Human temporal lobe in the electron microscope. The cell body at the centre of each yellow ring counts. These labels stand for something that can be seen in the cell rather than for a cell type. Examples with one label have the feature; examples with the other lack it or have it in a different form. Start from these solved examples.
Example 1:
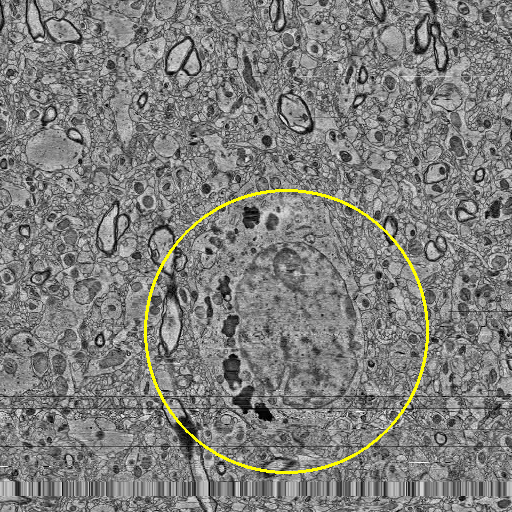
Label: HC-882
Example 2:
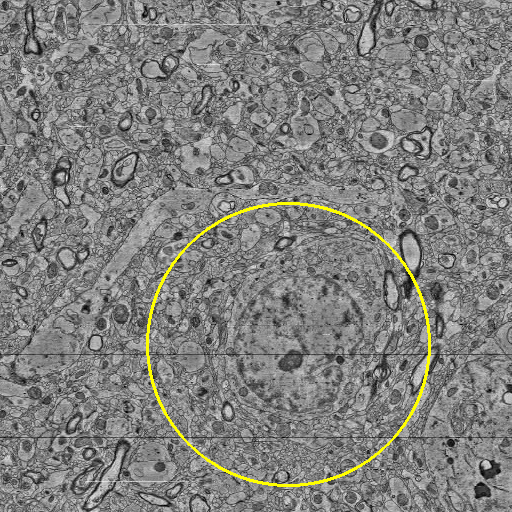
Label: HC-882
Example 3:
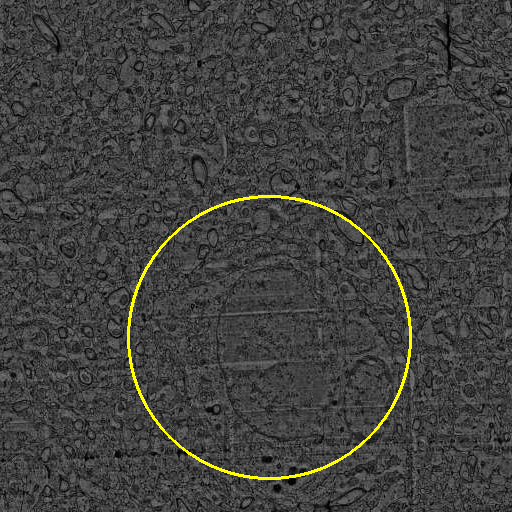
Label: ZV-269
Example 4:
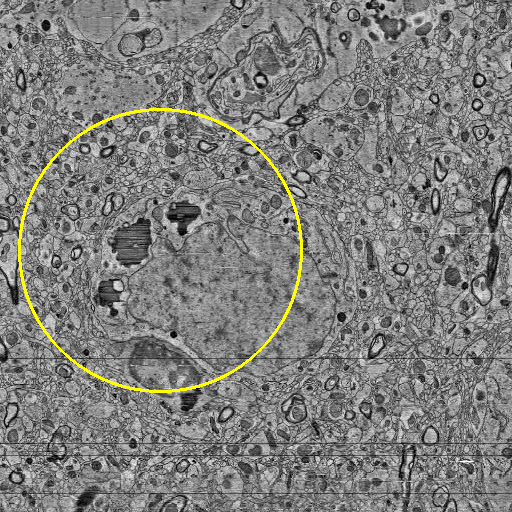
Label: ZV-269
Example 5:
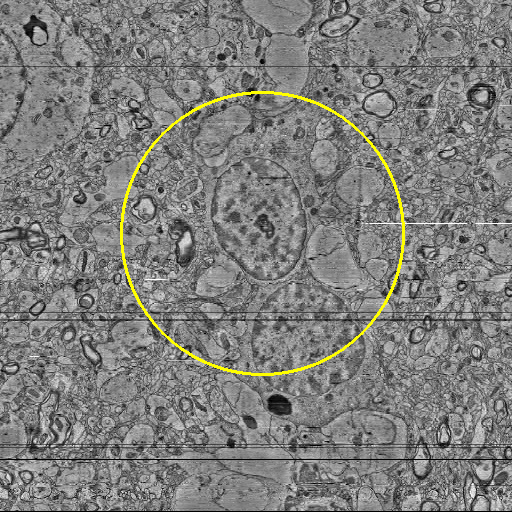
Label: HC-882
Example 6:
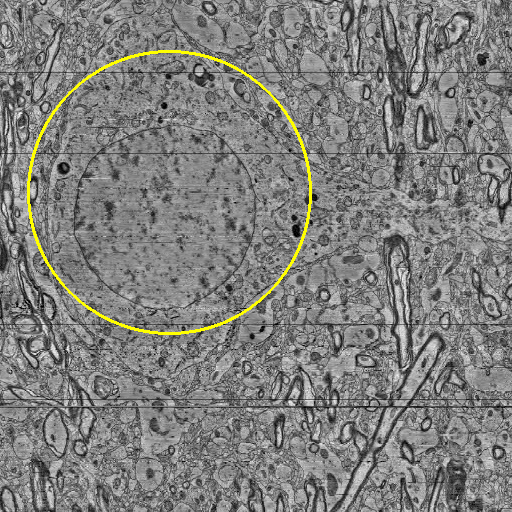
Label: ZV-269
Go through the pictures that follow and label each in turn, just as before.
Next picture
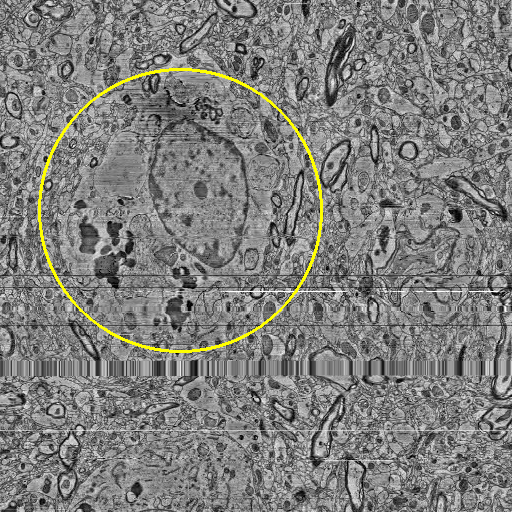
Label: HC-882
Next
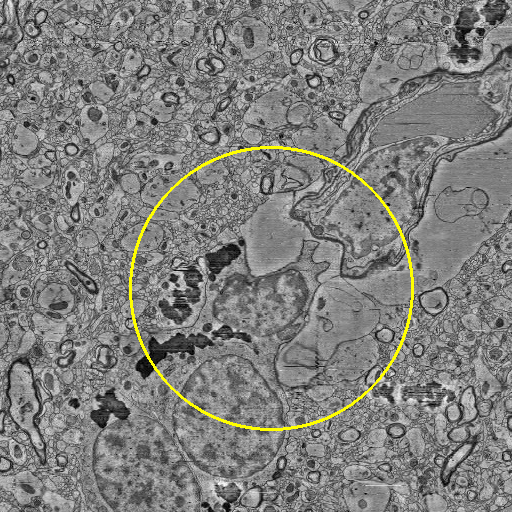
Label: ZV-269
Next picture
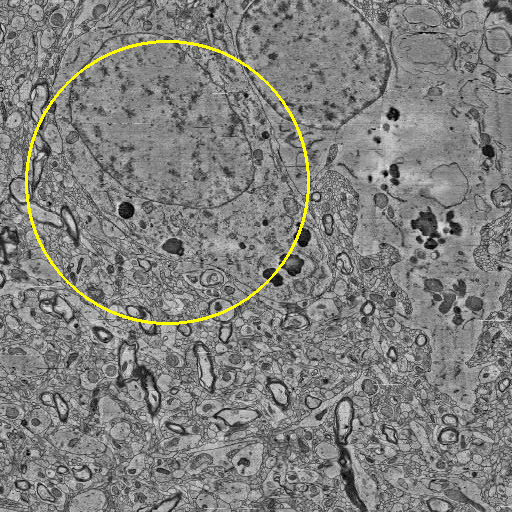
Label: ZV-269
